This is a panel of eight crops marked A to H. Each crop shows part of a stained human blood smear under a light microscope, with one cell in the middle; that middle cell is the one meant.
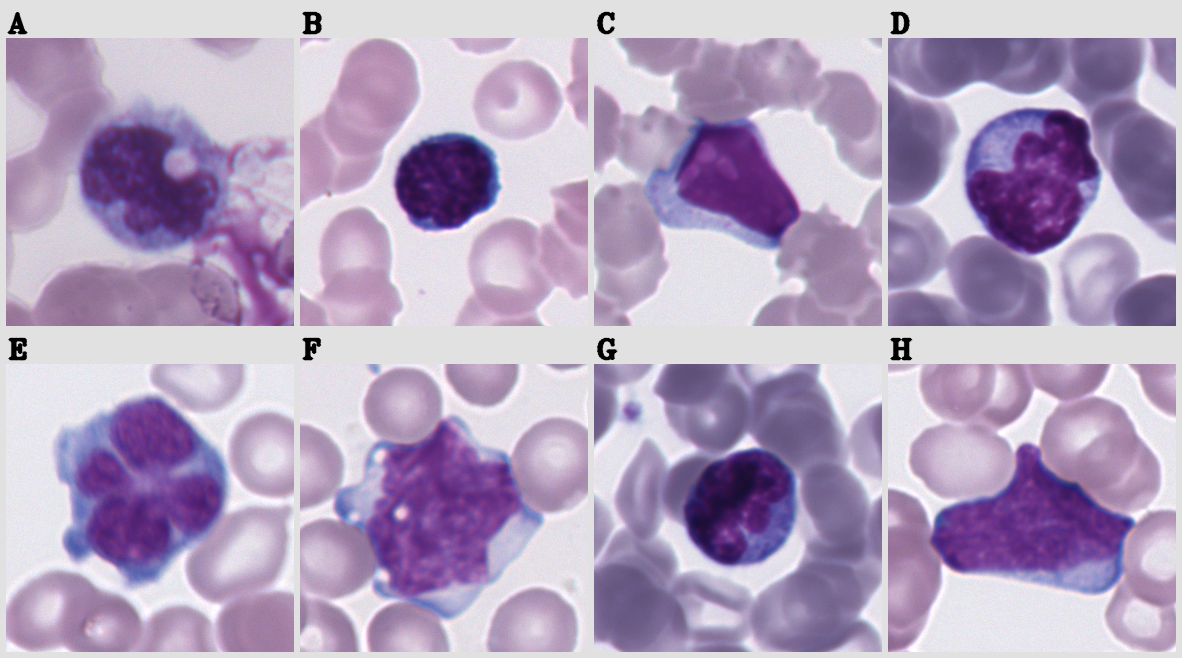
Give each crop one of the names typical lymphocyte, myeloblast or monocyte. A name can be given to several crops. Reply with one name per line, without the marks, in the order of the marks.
monocyte
typical lymphocyte
typical lymphocyte
typical lymphocyte
myeloblast
myeloblast
typical lymphocyte
myeloblast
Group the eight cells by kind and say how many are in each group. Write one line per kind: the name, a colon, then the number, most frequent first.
typical lymphocyte: 4
myeloblast: 3
monocyte: 1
